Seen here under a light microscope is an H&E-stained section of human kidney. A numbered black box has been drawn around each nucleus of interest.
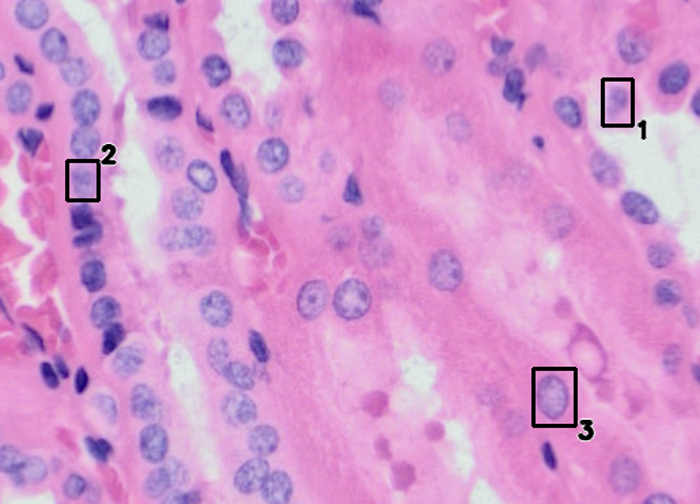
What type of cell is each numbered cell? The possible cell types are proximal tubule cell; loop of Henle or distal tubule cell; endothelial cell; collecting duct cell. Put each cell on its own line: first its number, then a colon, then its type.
1: loop of Henle or distal tubule cell
2: collecting duct cell
3: proximal tubule cell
